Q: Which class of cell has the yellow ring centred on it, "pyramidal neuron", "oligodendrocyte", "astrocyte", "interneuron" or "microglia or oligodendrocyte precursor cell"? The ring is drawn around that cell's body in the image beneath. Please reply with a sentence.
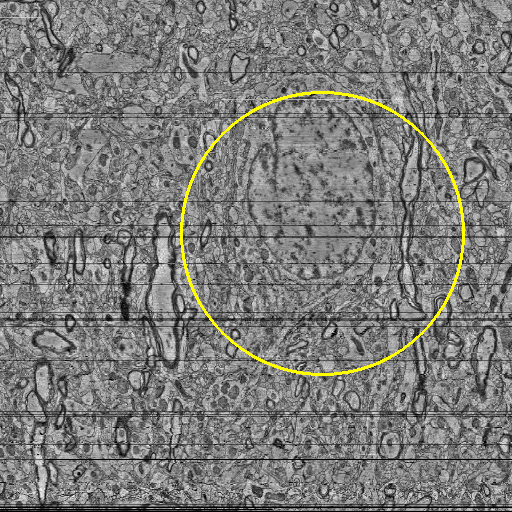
It is centred on an interneuron.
